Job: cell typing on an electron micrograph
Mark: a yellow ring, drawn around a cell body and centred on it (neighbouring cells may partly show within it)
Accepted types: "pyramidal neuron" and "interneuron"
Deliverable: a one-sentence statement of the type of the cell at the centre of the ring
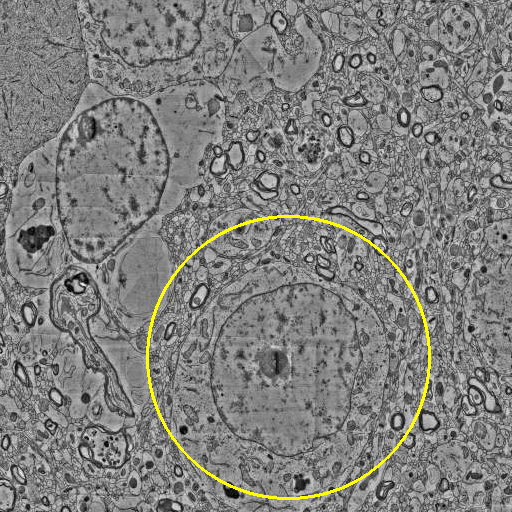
The centred cell body is that of a pyramidal neuron.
